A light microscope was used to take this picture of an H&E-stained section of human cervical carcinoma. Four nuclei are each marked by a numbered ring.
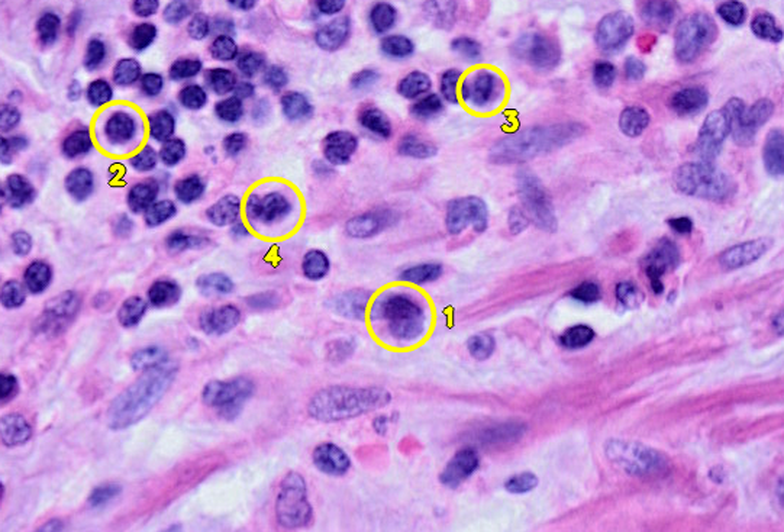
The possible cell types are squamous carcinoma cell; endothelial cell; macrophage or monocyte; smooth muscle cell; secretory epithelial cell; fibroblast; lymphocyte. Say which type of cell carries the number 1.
macrophage or monocyte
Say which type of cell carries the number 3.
lymphocyte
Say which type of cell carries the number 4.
lymphocyte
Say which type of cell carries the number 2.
lymphocyte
